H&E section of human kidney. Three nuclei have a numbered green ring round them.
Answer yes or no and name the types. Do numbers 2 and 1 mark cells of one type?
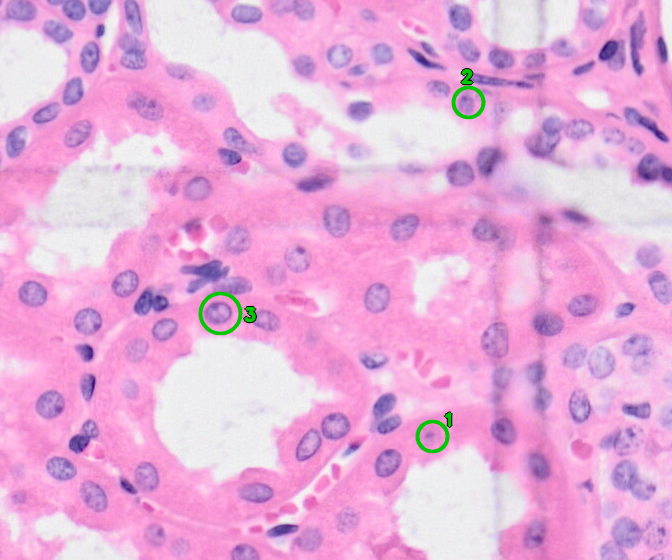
No, cell 2 is a collecting duct cell and cell 1 is a proximal tubule cell.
